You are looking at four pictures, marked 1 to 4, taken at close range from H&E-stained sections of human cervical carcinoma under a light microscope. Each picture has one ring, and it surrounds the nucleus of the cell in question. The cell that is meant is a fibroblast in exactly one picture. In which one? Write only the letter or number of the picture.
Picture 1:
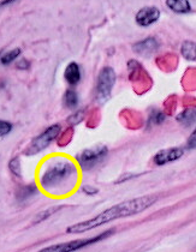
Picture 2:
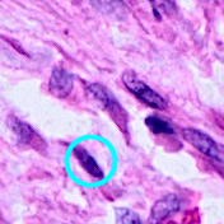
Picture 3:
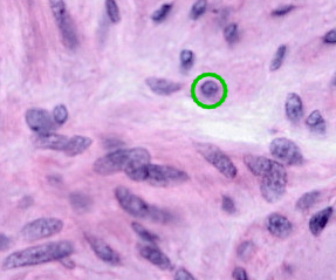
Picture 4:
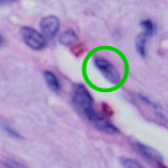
2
